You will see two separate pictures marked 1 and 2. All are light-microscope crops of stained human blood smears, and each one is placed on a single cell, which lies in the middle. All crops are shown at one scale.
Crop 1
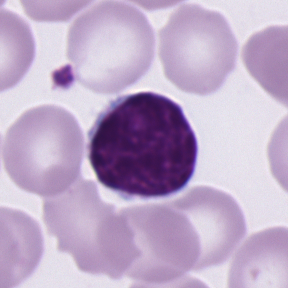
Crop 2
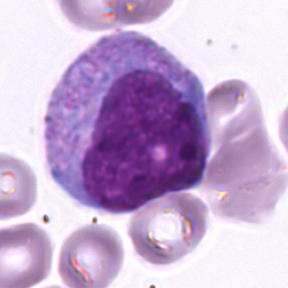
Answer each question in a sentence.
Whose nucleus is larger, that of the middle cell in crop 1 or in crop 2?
Crop 2 shows the larger nucleus; it covers about 1.5 times the area of the nucleus in crop 1.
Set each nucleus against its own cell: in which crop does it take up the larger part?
Of the two, the nucleus in crop 1 makes up the greater part of its cell.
